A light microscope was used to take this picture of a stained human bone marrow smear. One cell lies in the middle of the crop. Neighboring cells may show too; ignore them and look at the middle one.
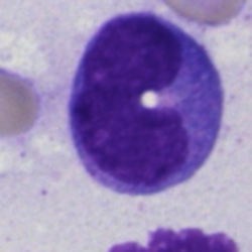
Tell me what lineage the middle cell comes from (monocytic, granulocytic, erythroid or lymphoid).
monocytic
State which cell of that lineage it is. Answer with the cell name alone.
monocyte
